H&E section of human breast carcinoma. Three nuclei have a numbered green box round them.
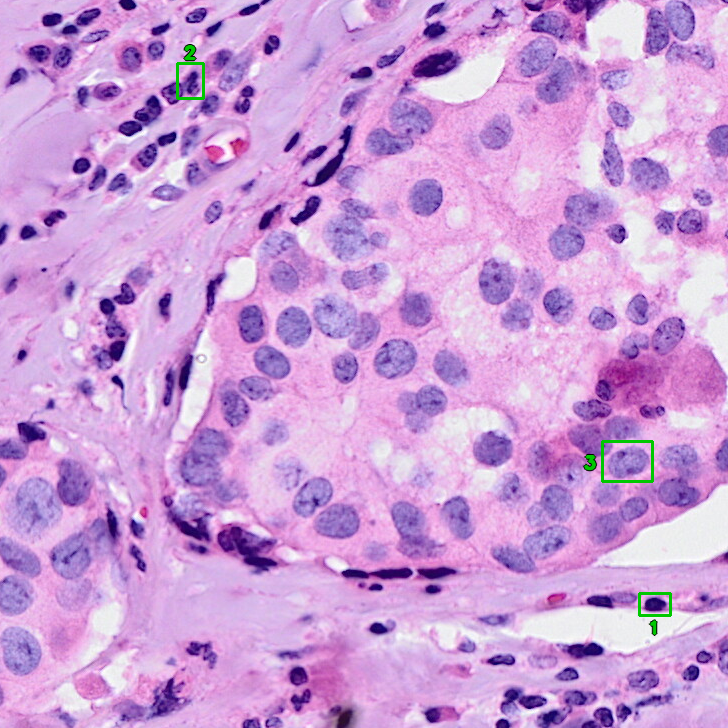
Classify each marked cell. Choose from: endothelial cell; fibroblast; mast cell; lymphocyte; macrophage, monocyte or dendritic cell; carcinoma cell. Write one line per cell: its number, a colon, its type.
1: lymphocyte
2: lymphocyte
3: carcinoma cell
